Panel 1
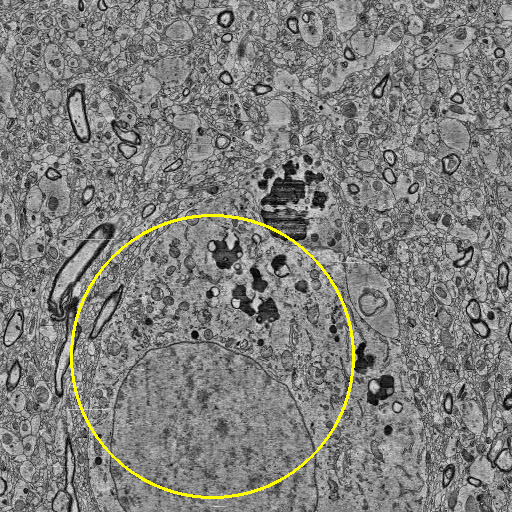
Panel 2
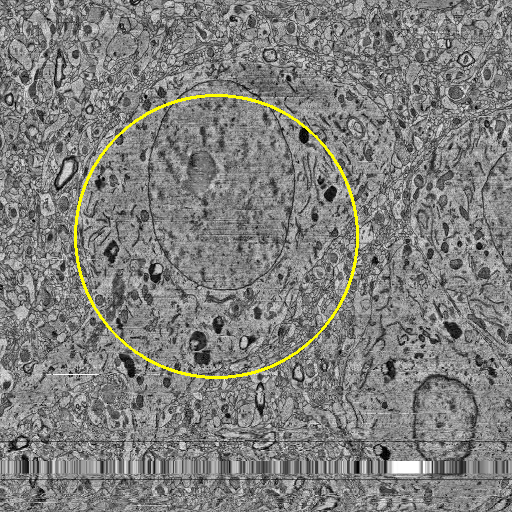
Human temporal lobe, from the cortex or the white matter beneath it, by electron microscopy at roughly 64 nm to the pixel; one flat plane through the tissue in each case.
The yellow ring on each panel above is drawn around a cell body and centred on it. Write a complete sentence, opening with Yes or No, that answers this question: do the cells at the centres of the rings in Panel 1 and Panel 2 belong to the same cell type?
Yes, both cells belong to the same cell type.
